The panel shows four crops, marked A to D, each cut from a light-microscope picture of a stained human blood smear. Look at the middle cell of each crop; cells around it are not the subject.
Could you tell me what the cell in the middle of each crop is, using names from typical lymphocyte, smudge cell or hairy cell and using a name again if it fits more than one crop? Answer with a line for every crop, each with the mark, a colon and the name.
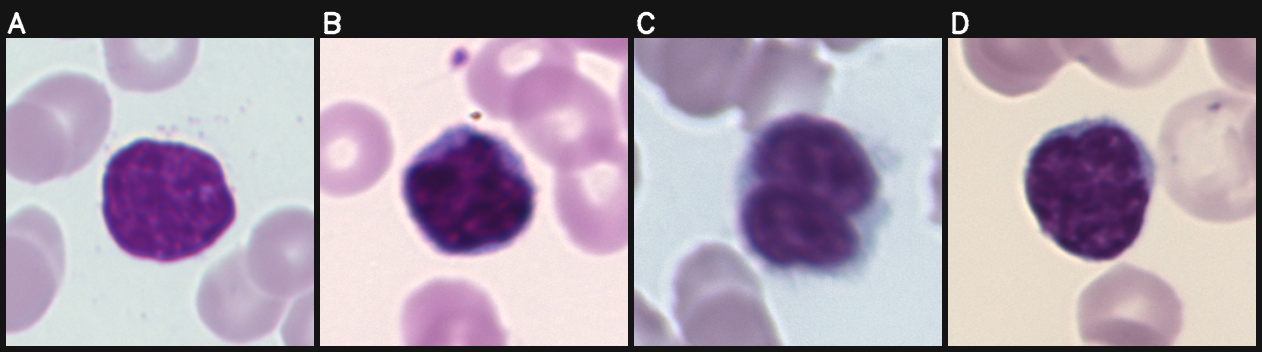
A: smudge cell
B: typical lymphocyte
C: hairy cell
D: typical lymphocyte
